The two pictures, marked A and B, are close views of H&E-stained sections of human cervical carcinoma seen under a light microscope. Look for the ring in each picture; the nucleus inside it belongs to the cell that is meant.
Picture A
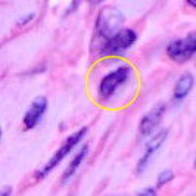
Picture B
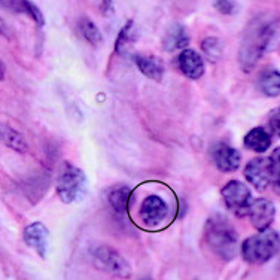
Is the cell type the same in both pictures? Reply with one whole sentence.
Yes, they are the same type: both are lymphocytes.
